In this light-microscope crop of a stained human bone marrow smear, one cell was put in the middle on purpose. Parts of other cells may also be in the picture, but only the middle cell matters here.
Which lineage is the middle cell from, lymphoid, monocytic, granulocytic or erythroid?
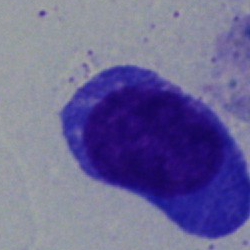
lymphoid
